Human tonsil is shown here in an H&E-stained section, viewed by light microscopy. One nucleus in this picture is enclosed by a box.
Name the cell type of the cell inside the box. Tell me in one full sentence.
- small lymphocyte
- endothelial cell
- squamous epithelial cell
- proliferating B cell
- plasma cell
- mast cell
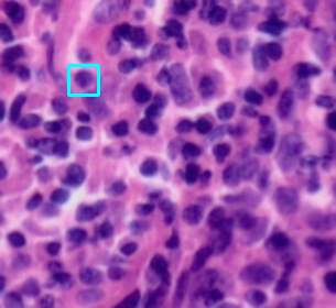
It is an endothelial cell that the cell inside the box represents.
